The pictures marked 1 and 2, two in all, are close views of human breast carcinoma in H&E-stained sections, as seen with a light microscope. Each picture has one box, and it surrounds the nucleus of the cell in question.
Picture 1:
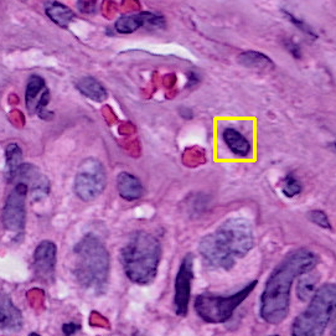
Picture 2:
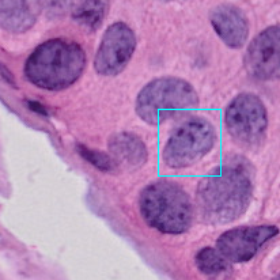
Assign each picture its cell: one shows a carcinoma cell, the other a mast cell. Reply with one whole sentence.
Picture 2 shows a carcinoma cell, while picture 1 shows a mast cell.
